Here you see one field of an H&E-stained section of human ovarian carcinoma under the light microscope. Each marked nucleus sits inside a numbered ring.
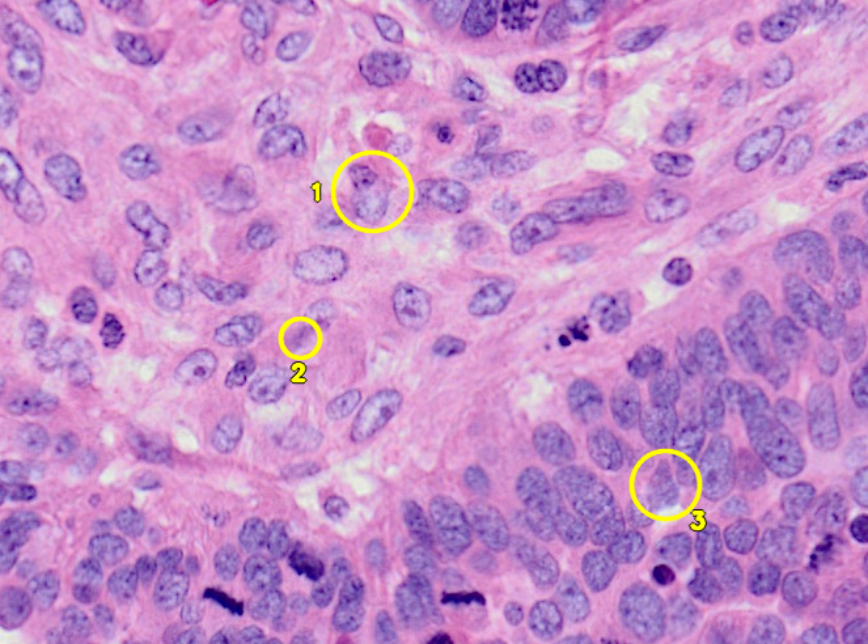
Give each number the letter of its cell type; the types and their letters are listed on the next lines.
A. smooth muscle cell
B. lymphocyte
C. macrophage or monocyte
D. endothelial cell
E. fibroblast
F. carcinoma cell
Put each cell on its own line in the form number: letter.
1: E
2: E
3: F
